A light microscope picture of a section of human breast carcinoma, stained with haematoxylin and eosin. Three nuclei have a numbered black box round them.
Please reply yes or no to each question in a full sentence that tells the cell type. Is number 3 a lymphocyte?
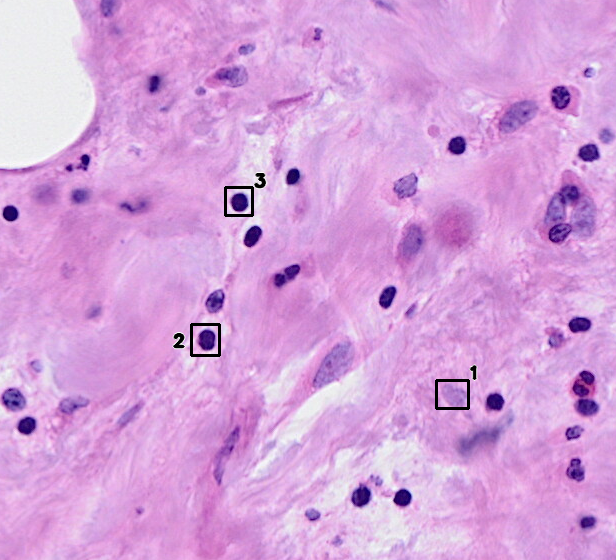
Yes, the cell that goes by number 3 is a lymphocyte.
